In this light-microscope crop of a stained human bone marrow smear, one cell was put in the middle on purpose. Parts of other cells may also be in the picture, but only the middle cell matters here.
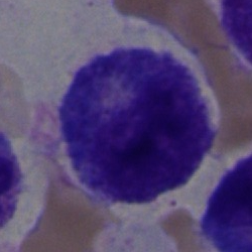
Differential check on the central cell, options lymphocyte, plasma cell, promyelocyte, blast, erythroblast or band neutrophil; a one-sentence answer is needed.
This particular crop is centered on a promyelocyte.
